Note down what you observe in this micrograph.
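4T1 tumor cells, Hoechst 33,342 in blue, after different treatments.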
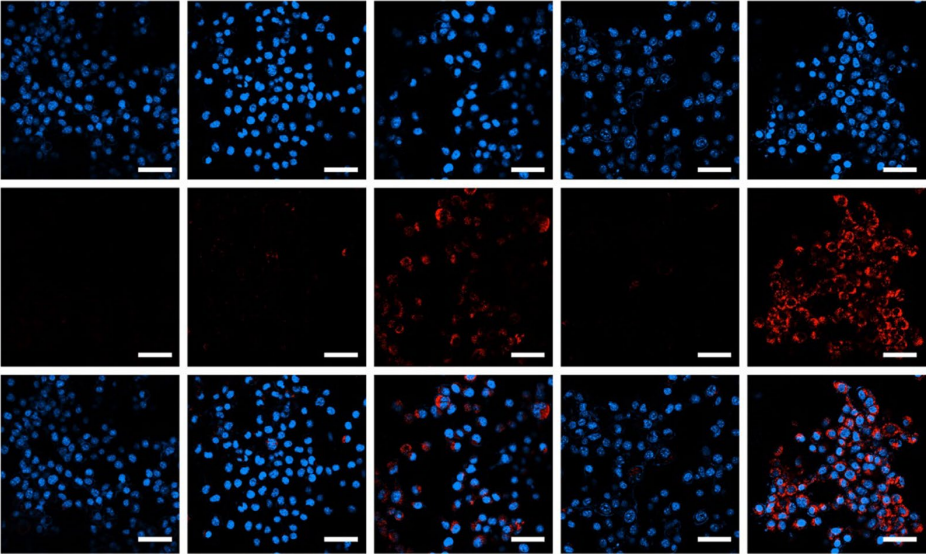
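In some images the nuclei are densely packed. In others they are sparser, and some nuclei look rounded or clumped. A red signal appears only in some images. Where it appears, it forms rims and granular patches in the cytoplasm around the blue nuclei, outlining cell bodies. It is strongest in one set of images, where the red rings surround almost every nucleus. In the remaining images there is hardly any red.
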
